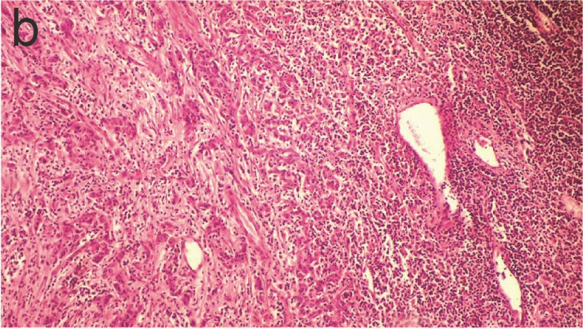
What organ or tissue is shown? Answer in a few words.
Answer: Lymph node.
